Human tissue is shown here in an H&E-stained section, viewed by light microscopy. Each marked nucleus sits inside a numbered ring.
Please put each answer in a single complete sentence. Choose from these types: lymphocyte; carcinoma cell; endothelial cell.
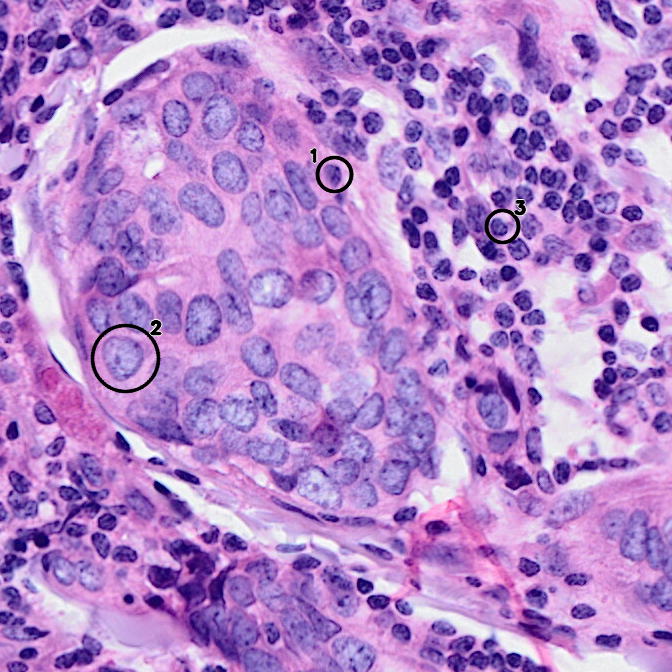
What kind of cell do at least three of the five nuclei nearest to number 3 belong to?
Lymphocytes account for more than half of the five nuclei nearest to number 3.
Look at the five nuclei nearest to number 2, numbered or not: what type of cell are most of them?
Carcinoma cells account for more than half of the five nuclei nearest to number 2.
